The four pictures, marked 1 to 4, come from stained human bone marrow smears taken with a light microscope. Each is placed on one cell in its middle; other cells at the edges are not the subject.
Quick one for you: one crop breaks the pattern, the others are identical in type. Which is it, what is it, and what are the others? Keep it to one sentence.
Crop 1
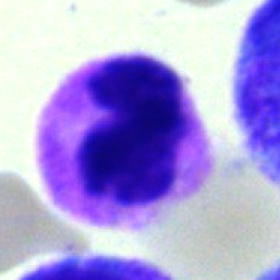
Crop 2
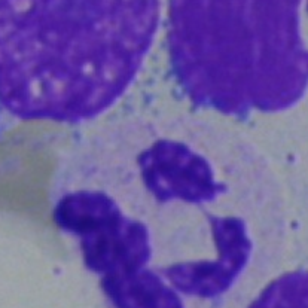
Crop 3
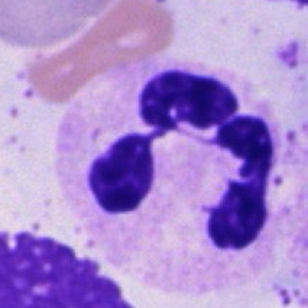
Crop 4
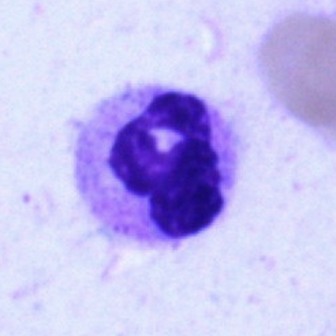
Crop 1 breaks the pattern with a basophil; all the others show segmented neutrophils.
